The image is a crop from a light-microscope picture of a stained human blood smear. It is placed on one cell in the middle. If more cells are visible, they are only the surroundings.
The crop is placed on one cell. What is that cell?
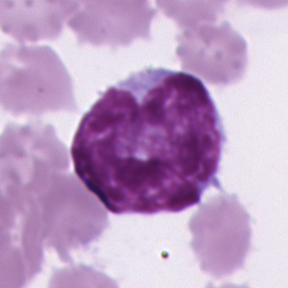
myeloblast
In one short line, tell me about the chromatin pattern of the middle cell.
Here the nuclear chromatin is coarsely clumped.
